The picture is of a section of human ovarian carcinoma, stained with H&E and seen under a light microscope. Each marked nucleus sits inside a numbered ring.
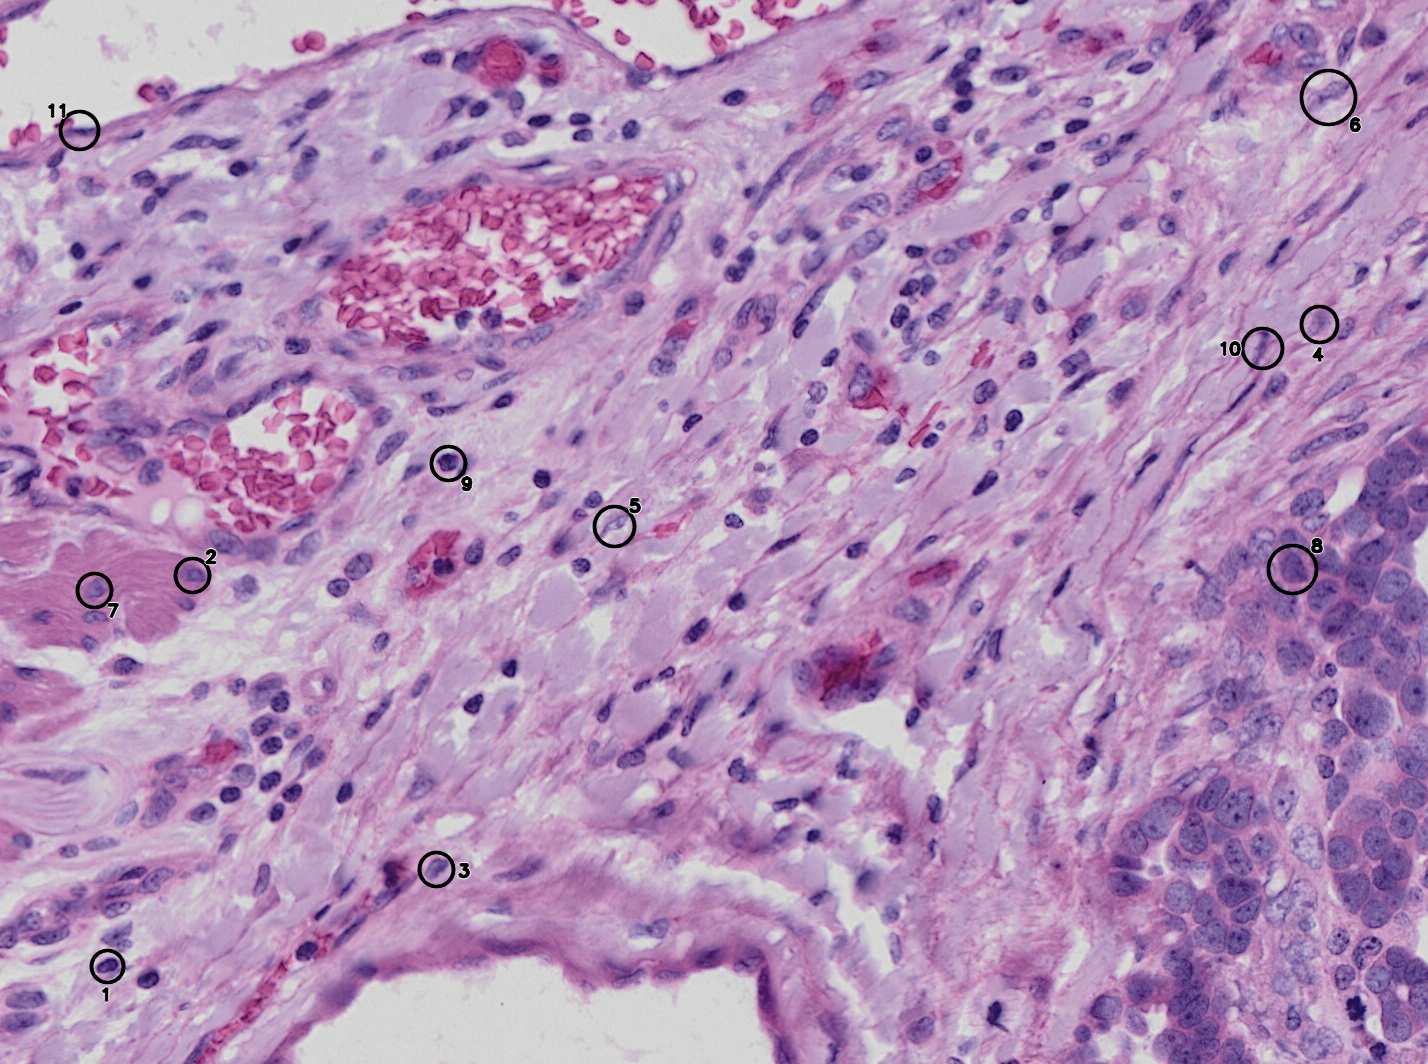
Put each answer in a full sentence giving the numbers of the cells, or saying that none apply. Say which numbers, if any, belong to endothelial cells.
Among the numbered cells, cell 11 alone is an endothelial cell.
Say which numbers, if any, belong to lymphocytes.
In short, the numbered cells 1, 3 and 9 are lymphocytes.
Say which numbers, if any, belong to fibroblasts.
Each of the cells numbered 4, 5, 6 and 10 is among the fibroblasts.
